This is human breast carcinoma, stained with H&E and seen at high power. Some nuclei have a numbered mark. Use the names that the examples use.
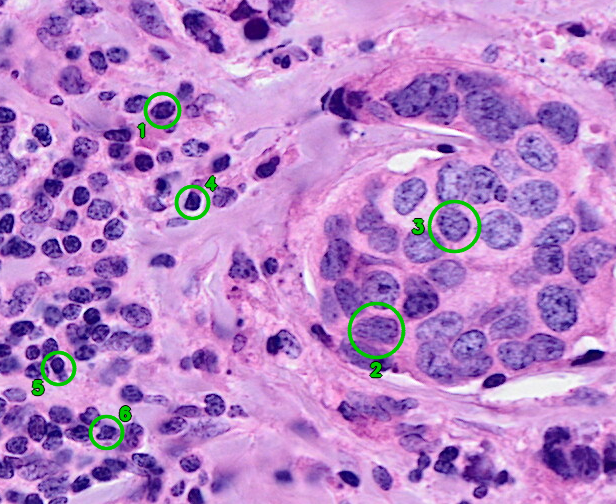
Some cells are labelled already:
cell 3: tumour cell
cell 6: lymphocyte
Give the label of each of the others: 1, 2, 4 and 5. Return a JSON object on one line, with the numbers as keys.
{"1": "lymphocyte", "2": "tumour cell", "4": "lymphocyte", "5": "lymphocyte"}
